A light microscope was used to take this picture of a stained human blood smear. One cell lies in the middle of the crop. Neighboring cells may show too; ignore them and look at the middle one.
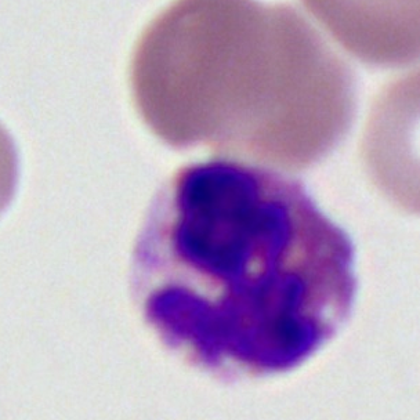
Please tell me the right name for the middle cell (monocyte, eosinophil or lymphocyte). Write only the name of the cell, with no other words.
eosinophil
